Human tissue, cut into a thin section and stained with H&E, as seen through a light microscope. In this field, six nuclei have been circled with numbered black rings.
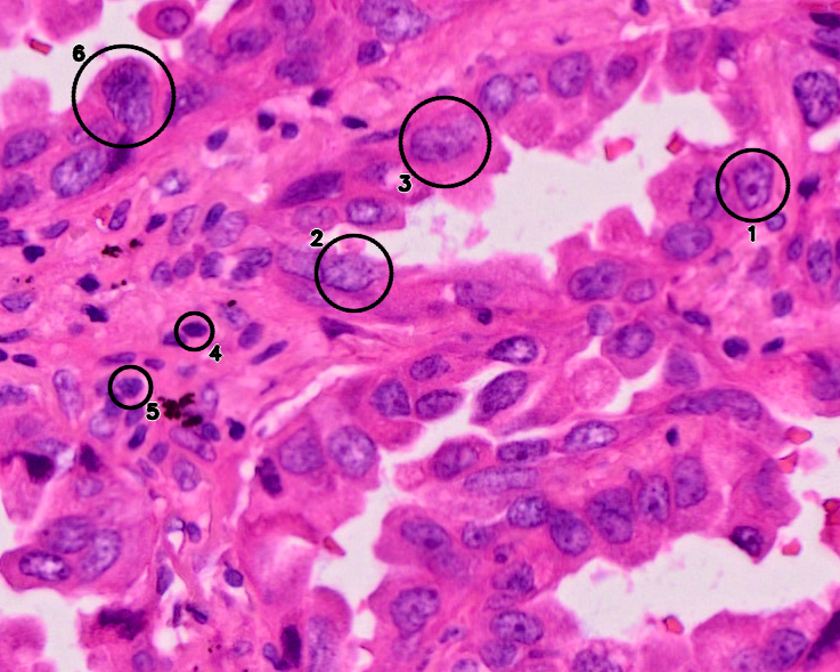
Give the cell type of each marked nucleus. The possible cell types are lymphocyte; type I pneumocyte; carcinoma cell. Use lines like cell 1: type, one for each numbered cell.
cell 1: carcinoma cell
cell 2: carcinoma cell
cell 3: carcinoma cell
cell 4: lymphocyte
cell 5: lymphocyte
cell 6: carcinoma cell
